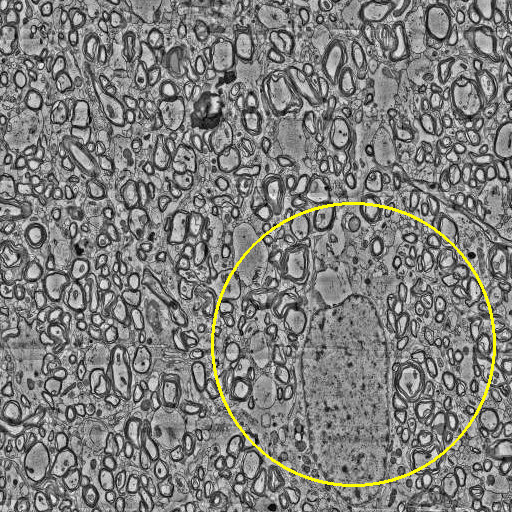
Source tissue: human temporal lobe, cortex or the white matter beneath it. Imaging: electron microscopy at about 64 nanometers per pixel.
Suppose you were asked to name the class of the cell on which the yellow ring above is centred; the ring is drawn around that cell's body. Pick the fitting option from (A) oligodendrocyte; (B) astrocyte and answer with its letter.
B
